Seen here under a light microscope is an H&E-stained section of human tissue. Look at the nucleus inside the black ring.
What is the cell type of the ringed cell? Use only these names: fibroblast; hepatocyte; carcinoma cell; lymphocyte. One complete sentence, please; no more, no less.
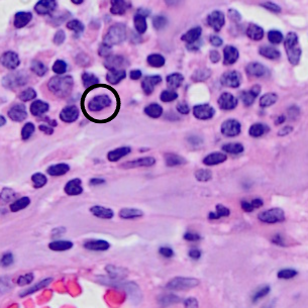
In this section, the ringed cell is a lymphocyte.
